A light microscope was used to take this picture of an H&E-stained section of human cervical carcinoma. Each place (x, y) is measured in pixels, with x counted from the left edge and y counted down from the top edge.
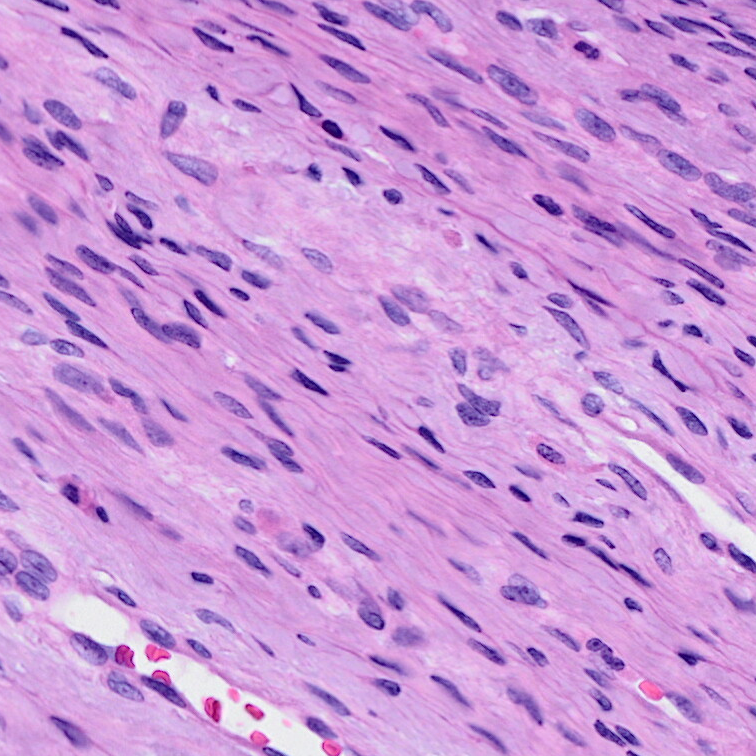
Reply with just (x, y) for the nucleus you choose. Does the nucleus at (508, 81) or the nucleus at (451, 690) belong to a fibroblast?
(451, 690)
